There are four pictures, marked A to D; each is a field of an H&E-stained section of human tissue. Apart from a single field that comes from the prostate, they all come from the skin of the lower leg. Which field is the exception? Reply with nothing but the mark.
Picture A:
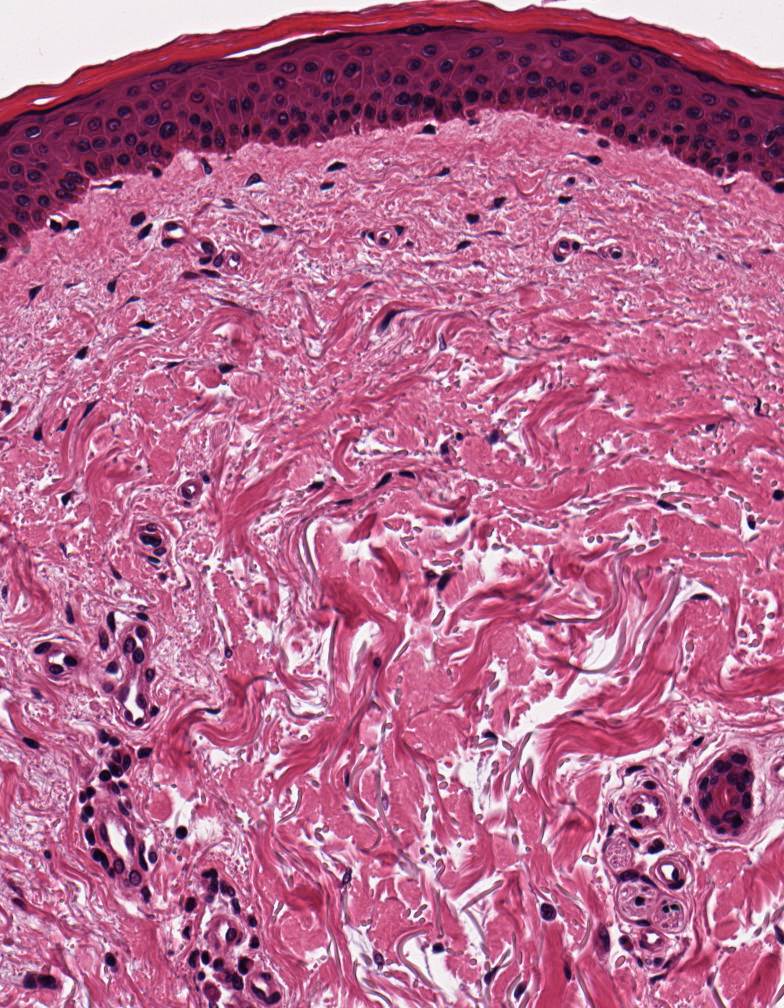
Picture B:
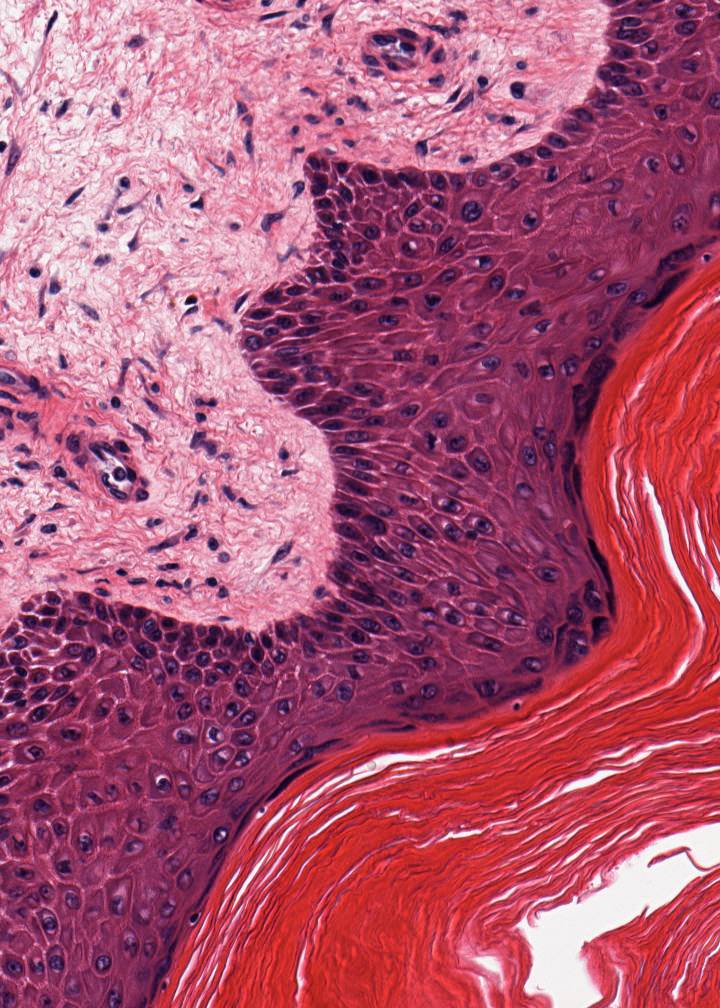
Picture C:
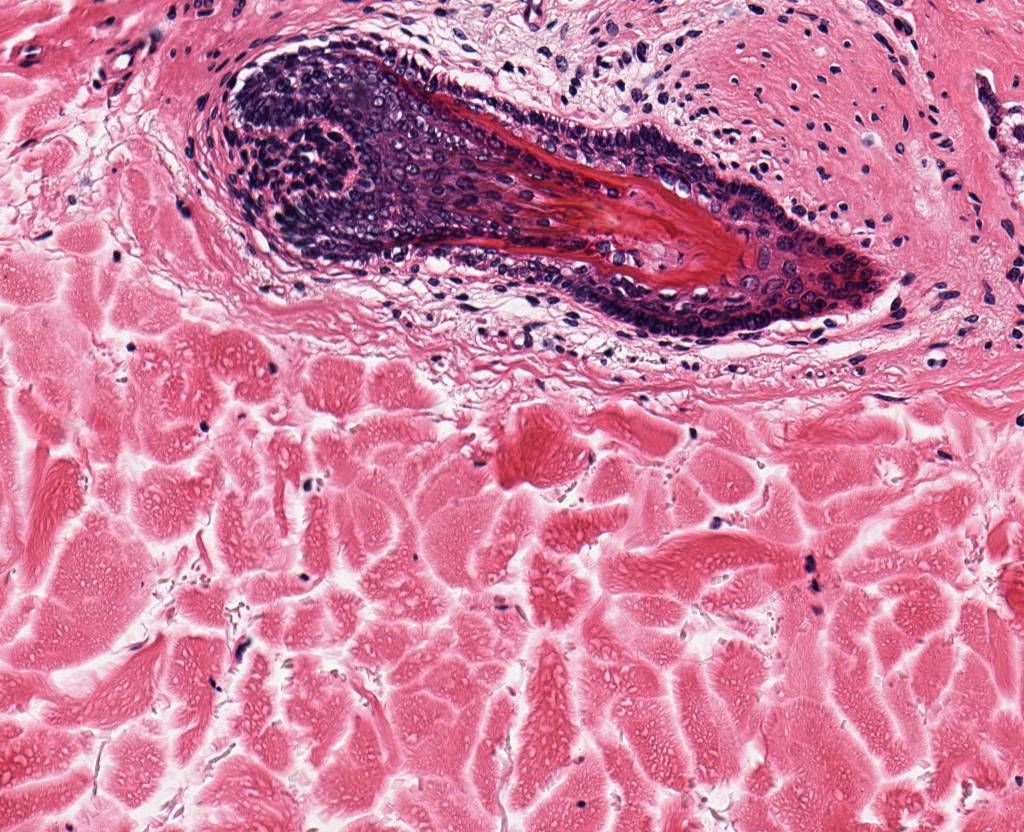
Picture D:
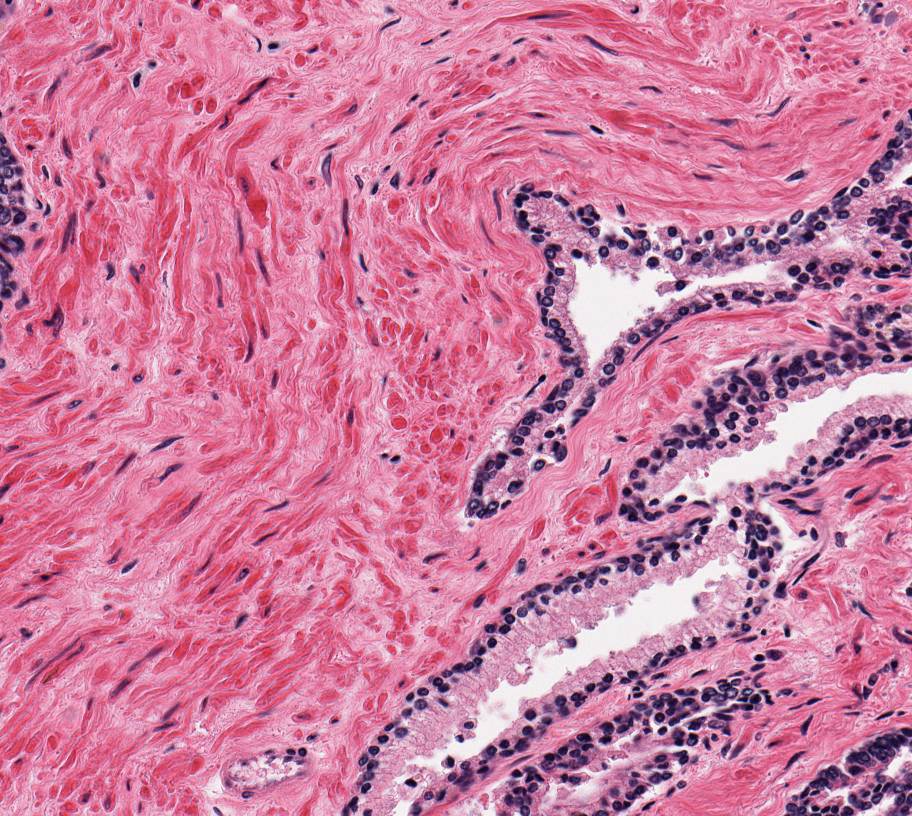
D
